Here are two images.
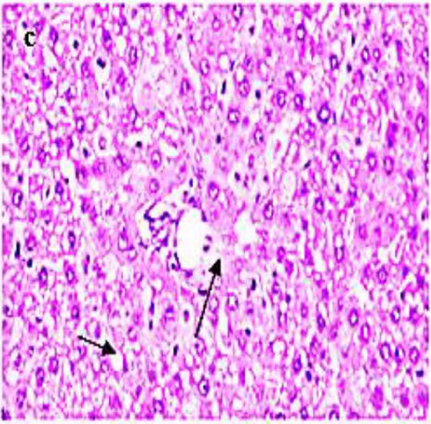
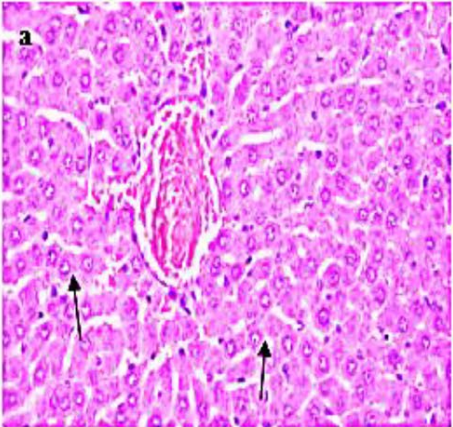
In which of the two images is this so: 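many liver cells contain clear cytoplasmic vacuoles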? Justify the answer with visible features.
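First image: numerous cells have pale, vacuolated cytoplasm with clear droplets. Second image: cells have evenly pink, solid cytoplasm without clear vacuoles.
Answer: the first image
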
